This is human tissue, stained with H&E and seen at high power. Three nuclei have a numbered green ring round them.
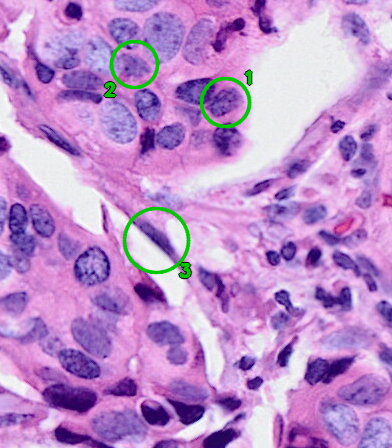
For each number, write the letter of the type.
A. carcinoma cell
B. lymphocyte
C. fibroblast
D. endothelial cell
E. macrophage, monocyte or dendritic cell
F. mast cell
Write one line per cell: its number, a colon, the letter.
1: A
2: A
3: C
